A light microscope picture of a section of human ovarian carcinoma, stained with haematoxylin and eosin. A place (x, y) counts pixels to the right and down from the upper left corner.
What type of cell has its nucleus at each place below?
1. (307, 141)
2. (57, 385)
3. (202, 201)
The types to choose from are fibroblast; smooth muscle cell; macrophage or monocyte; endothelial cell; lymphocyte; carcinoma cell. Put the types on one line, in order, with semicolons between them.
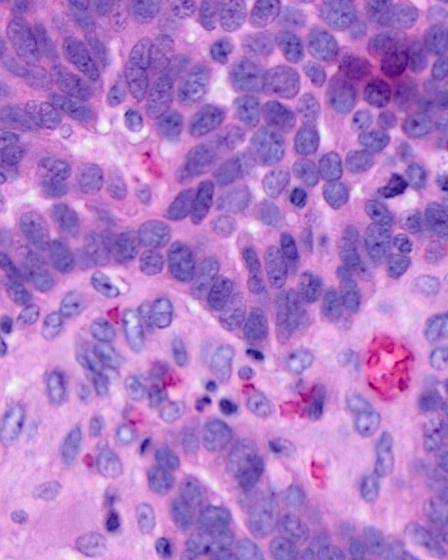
carcinoma cell; fibroblast; carcinoma cell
